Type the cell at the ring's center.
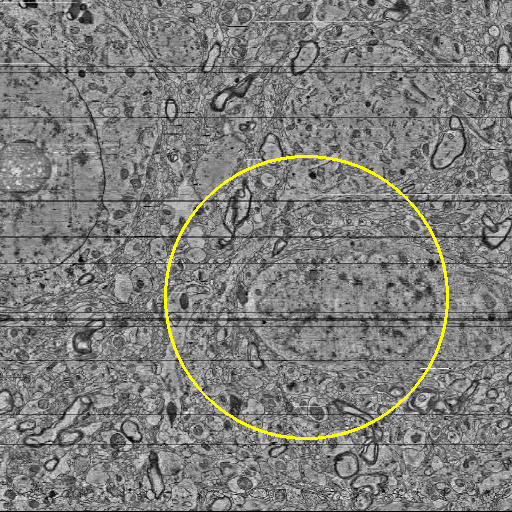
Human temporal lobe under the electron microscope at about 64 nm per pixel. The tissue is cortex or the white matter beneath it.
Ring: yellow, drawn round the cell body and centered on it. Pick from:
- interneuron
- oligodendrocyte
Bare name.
interneuron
